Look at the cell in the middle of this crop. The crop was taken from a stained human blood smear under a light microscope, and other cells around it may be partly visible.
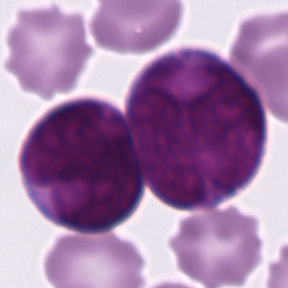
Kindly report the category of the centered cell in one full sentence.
In the center of this field lies a myeloblast.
